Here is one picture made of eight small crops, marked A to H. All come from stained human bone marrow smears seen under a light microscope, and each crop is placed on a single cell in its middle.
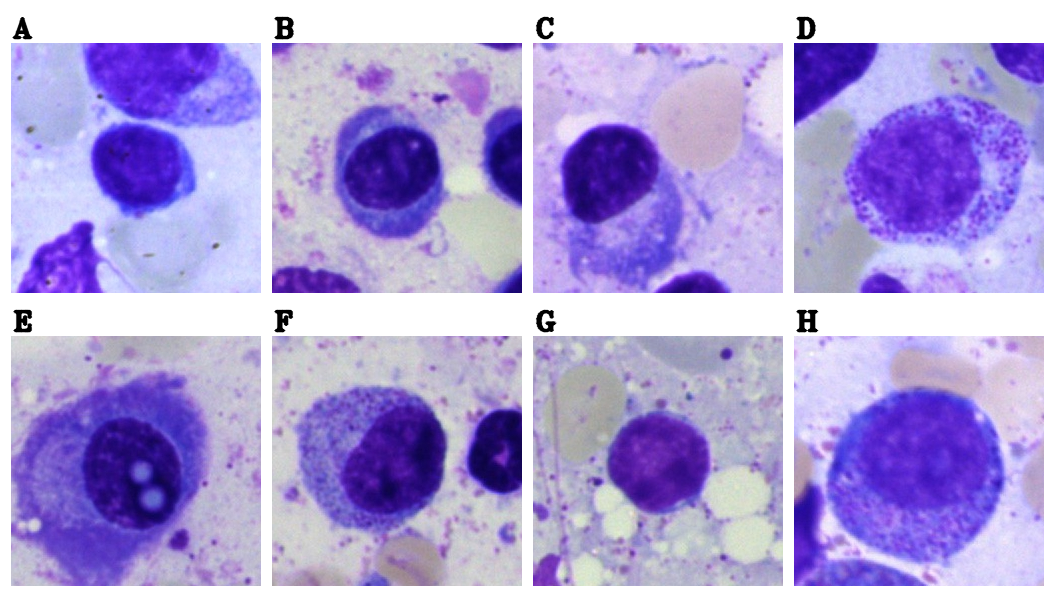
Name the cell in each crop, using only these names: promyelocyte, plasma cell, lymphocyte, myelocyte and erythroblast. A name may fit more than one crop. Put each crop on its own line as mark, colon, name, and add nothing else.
A: lymphocyte
B: plasma cell
C: plasma cell
D: myelocyte
E: plasma cell
F: myelocyte
G: lymphocyte
H: promyelocyte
